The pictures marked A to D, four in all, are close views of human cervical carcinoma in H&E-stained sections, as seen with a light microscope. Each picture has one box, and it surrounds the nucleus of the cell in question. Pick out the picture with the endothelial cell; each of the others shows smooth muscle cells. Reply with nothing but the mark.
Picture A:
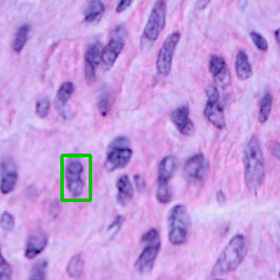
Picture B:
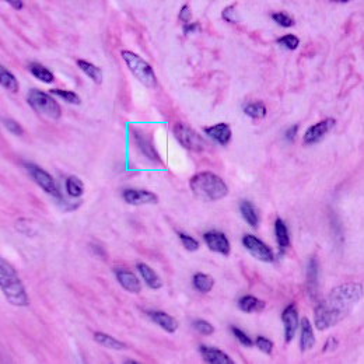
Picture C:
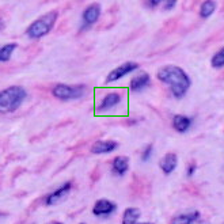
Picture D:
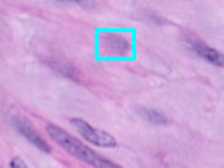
B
